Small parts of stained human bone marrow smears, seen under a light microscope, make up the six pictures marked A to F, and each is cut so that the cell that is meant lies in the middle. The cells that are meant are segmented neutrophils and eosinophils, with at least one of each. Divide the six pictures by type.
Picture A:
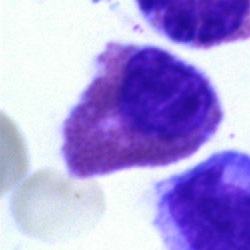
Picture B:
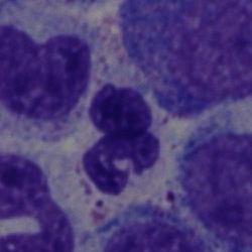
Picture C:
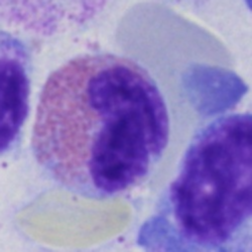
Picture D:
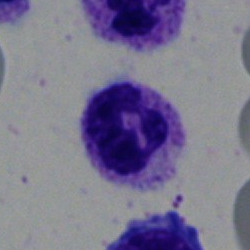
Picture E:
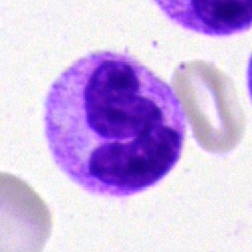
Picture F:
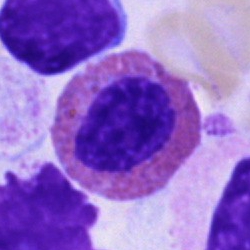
A: eosinophil
B: segmented neutrophil
C: eosinophil
D: segmented neutrophil
E: segmented neutrophil
F: eosinophil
